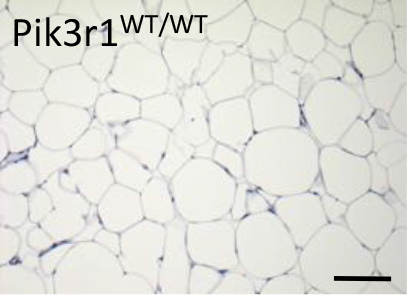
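The cells vary in size. Small, flattened, blue-staining nuclei lie sparsely at the cell borders, some in the narrow spaces between adipocytes.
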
